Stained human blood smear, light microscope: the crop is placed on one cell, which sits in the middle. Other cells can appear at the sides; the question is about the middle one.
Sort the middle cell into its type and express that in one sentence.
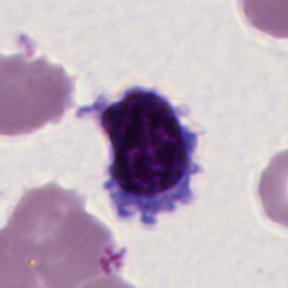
The cell in the middle of the field of view is a plasma cell.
